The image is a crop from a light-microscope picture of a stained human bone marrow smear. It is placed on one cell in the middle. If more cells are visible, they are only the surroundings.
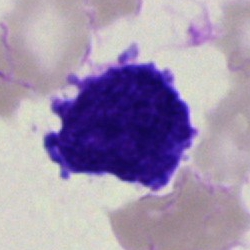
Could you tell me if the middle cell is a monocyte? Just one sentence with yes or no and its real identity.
No, the centre cell counts as a blast, not as a monocyte.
